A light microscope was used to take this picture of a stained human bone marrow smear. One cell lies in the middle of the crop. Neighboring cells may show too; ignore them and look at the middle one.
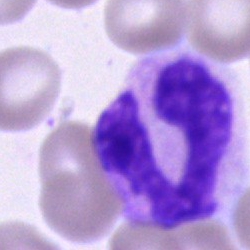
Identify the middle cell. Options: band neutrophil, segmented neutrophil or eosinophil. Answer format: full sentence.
The cell in the middle of this crop is a band neutrophil.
